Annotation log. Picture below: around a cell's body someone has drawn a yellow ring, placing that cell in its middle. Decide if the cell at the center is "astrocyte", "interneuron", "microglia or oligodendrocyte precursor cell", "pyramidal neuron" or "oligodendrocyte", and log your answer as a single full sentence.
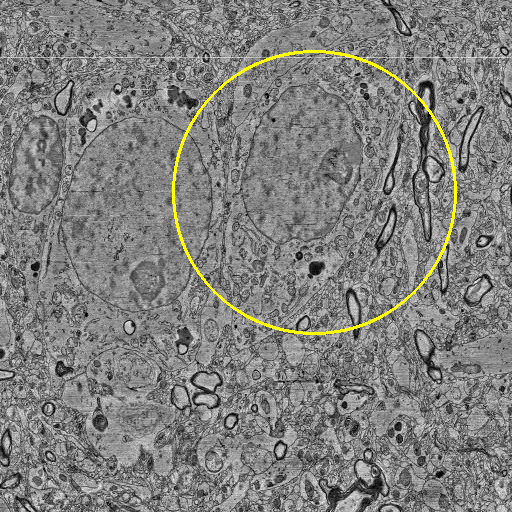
My entry records an interneuron as the cell sitting at the center of the yellow ring.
